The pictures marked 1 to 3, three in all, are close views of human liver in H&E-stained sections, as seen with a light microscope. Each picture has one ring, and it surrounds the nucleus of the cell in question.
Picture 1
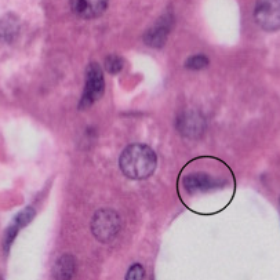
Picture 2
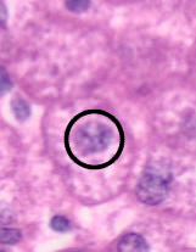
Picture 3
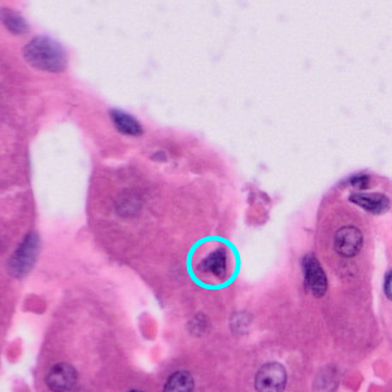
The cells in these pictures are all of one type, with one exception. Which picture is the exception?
2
